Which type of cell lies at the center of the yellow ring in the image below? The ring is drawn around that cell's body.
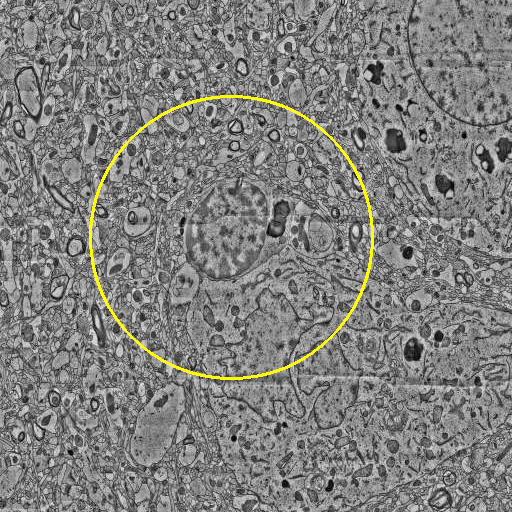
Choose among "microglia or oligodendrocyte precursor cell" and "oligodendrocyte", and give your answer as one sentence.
The cell body at the center belongs to an oligodendrocyte.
